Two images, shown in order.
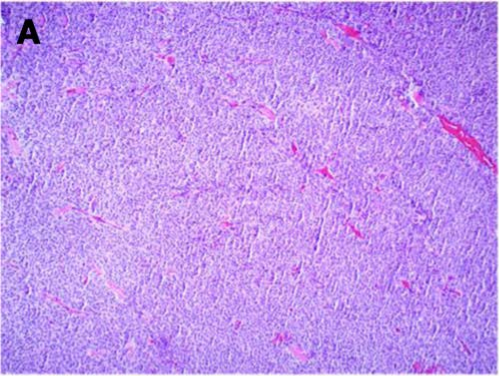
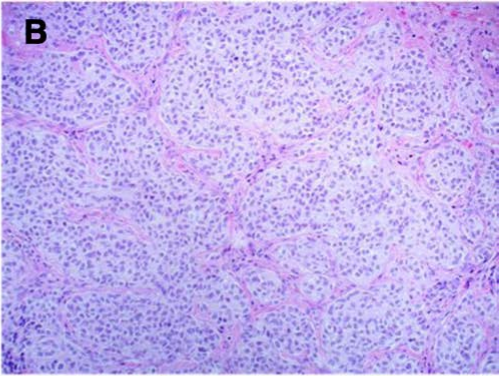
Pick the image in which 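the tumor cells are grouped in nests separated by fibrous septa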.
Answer: The second image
